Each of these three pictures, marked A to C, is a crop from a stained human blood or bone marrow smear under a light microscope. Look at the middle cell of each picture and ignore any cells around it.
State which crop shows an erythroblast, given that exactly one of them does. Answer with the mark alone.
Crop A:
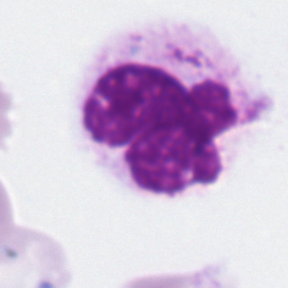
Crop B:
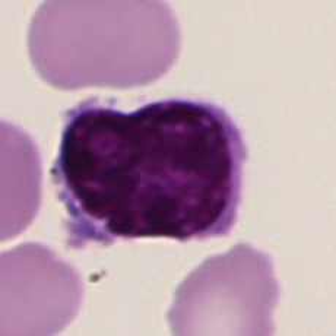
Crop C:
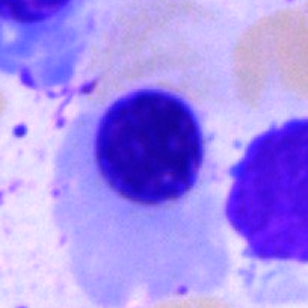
C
